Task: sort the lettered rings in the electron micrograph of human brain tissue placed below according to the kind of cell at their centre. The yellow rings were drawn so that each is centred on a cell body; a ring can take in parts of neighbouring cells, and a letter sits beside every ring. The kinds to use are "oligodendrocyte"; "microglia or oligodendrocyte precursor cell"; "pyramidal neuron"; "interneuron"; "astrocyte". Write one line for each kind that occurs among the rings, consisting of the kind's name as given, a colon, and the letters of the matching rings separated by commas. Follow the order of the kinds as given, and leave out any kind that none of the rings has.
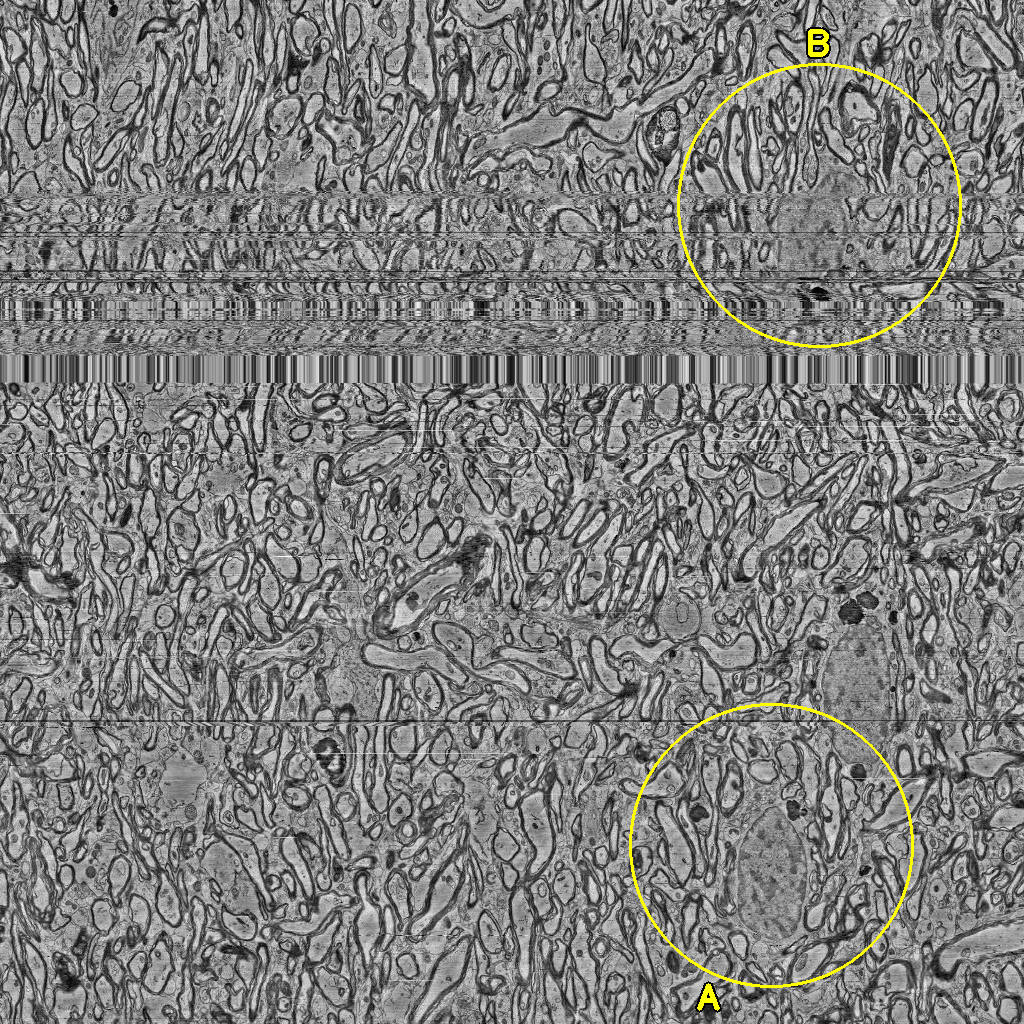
oligodendrocyte: A, B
